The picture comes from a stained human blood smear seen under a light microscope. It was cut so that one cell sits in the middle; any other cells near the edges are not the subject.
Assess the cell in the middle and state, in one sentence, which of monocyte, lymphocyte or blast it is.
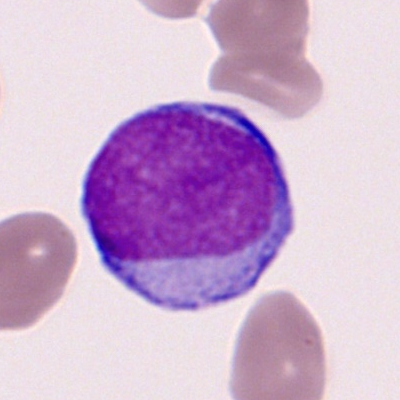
In the centre of this crop there is a blast.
